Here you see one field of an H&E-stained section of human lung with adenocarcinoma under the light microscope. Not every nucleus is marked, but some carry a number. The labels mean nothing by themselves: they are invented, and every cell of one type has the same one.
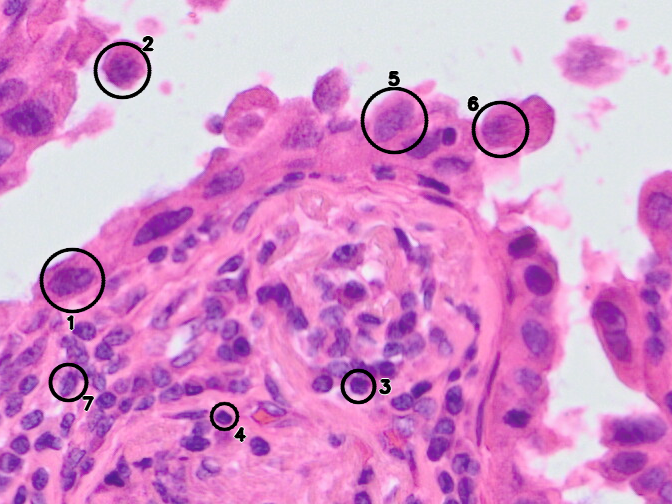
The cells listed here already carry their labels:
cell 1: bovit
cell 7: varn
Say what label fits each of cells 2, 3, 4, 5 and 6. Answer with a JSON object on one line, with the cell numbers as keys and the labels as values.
{"2": "bovit", "3": "varn", "4": "varn", "5": "bovit", "6": "bovit"}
